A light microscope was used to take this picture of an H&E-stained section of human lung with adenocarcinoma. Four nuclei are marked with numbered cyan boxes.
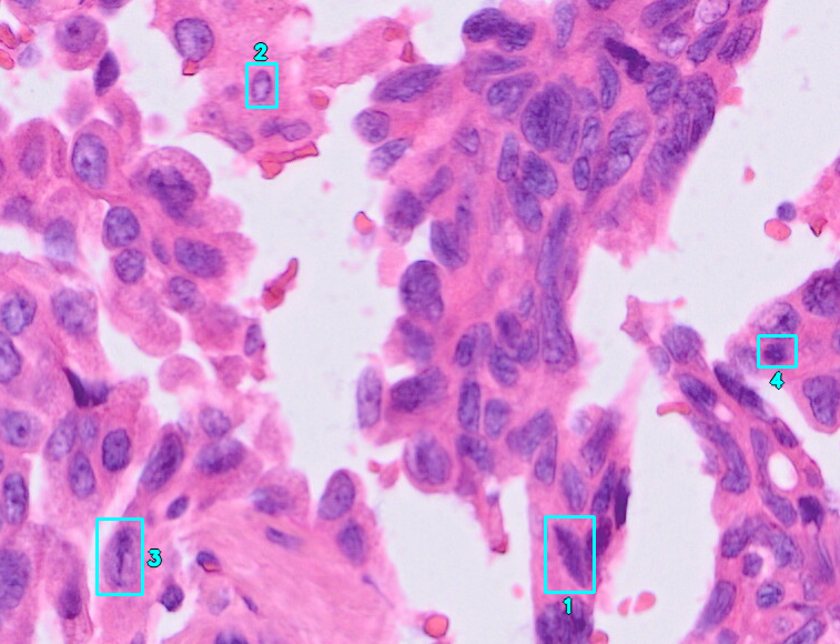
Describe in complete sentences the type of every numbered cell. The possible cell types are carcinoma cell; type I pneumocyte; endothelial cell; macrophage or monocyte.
Cell 1 is a carcinoma cell, cell 2 is a macrophage or monocyte, cell 3 is a carcinoma cell and cell 4 is a carcinoma cell.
